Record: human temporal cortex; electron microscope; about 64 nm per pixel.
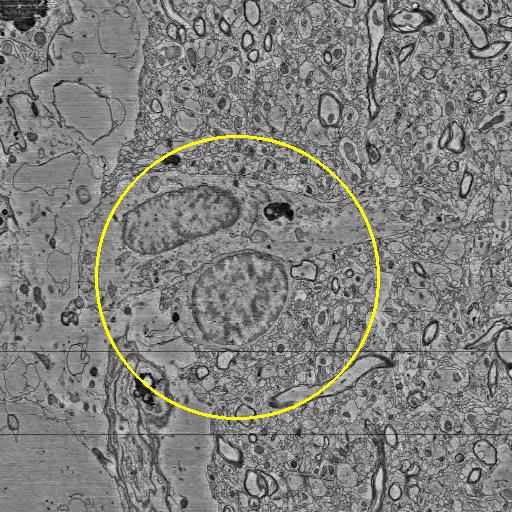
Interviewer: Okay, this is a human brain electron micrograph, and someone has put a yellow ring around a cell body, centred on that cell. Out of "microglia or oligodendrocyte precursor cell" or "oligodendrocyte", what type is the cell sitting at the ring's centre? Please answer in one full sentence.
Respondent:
The cell at the centre of the yellow ring in this picture is an oligodendrocyte.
